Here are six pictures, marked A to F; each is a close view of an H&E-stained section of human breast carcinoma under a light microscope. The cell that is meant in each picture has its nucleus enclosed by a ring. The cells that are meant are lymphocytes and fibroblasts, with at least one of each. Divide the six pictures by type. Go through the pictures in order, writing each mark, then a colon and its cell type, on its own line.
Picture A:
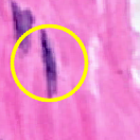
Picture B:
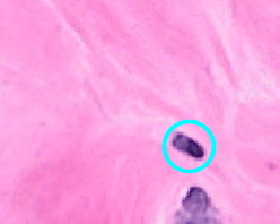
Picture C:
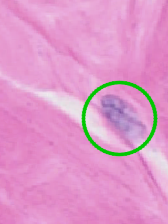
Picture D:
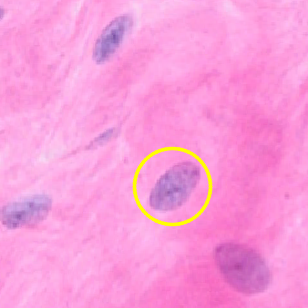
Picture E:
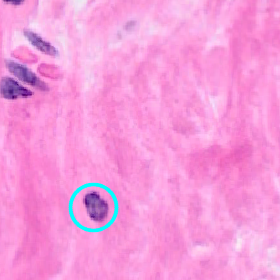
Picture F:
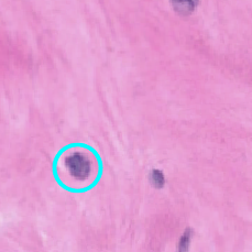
A: fibroblast
B: lymphocyte
C: fibroblast
D: fibroblast
E: lymphocyte
F: lymphocyte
